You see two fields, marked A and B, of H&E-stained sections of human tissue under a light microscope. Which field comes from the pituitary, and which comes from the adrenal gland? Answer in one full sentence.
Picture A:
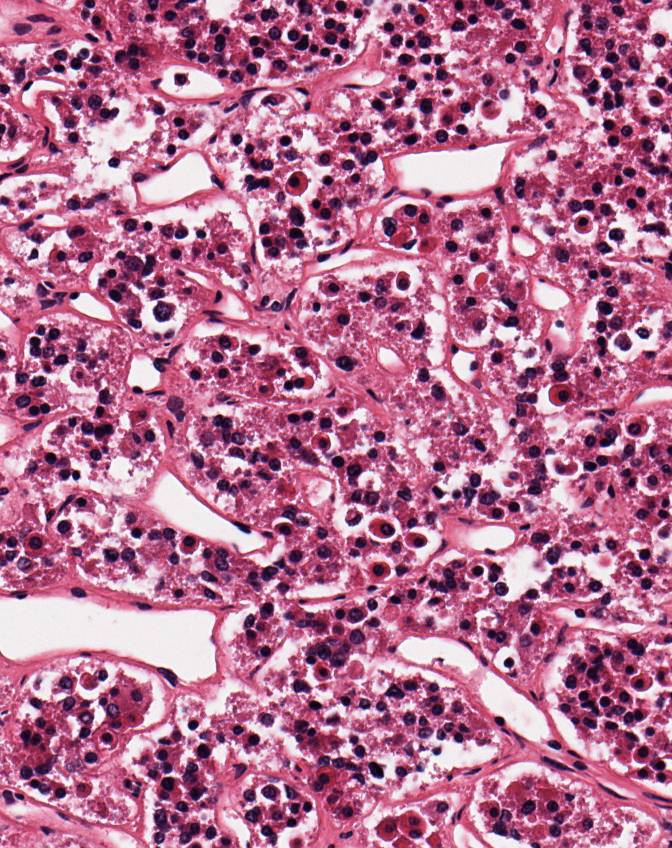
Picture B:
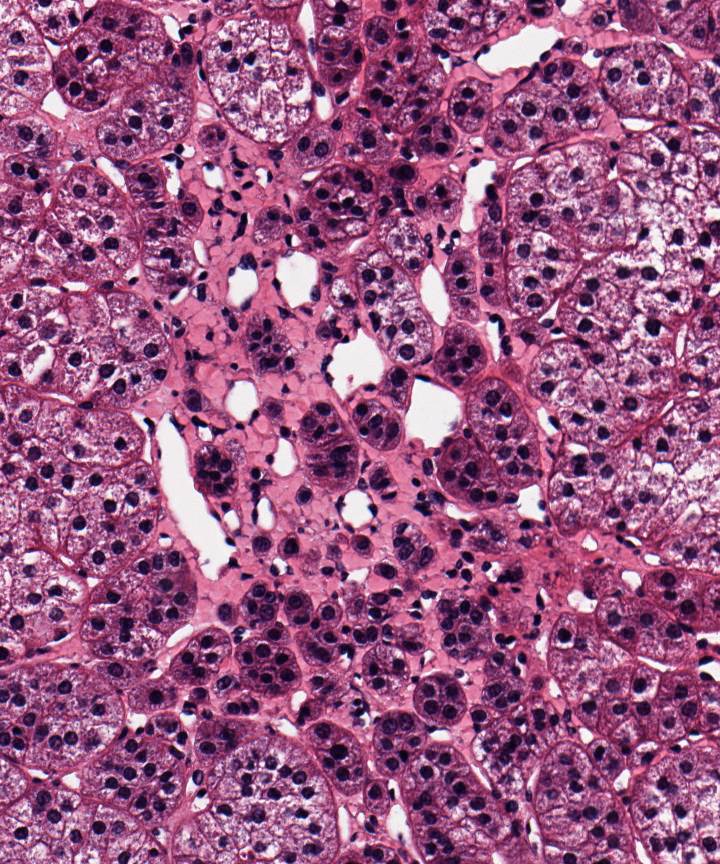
It is picture A that comes from the pituitary, and picture B that comes from the adrenal gland.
